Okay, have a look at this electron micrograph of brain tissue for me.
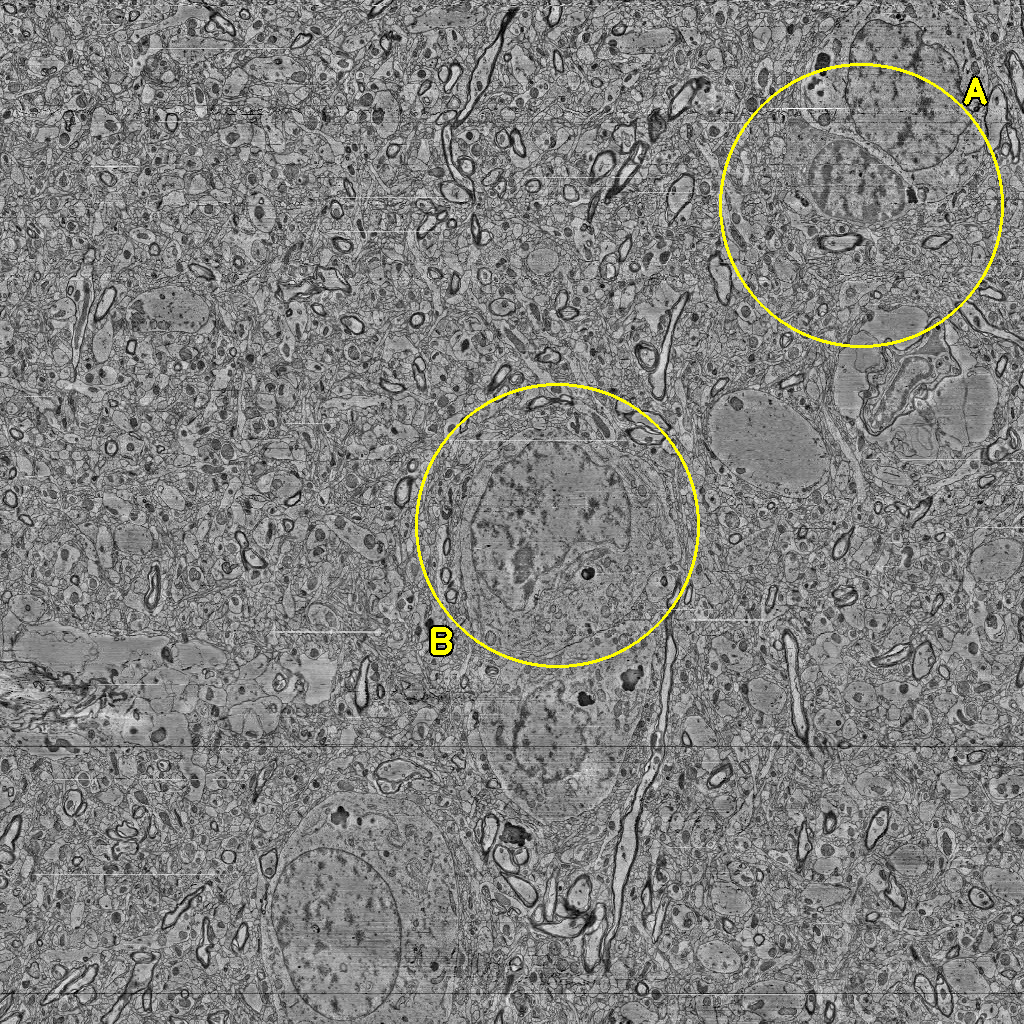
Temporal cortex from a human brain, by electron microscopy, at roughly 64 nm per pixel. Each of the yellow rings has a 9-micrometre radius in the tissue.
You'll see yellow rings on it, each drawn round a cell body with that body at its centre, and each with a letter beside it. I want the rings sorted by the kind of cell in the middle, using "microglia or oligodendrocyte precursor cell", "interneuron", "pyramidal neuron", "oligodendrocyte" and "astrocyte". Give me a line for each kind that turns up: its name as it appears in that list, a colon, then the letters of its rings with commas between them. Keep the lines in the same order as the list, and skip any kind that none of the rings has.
interneuron: B
oligodendrocyte: A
